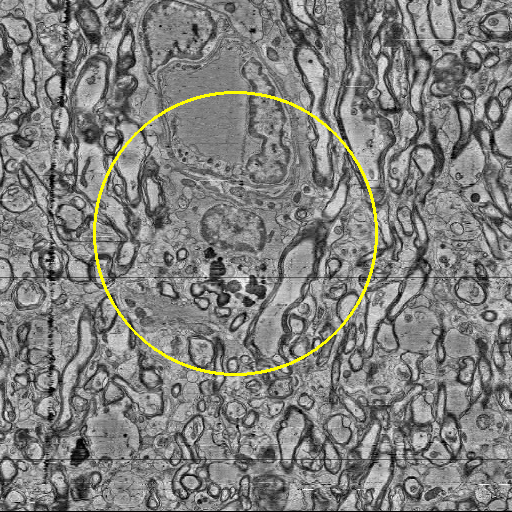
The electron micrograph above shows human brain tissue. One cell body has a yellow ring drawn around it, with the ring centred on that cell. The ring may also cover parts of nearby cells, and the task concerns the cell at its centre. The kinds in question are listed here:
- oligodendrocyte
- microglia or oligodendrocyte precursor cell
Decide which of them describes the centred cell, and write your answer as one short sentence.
The centred cell is an oligodendrocyte.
